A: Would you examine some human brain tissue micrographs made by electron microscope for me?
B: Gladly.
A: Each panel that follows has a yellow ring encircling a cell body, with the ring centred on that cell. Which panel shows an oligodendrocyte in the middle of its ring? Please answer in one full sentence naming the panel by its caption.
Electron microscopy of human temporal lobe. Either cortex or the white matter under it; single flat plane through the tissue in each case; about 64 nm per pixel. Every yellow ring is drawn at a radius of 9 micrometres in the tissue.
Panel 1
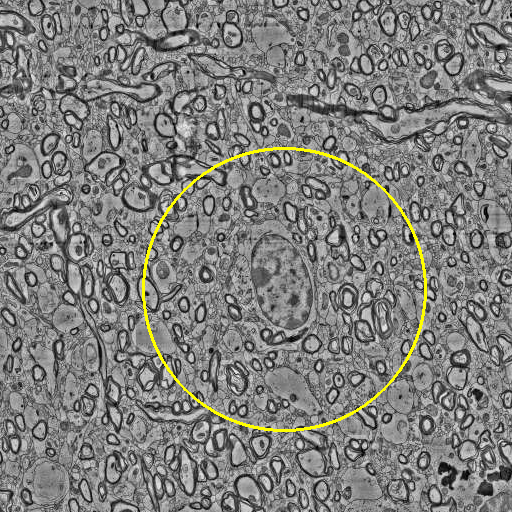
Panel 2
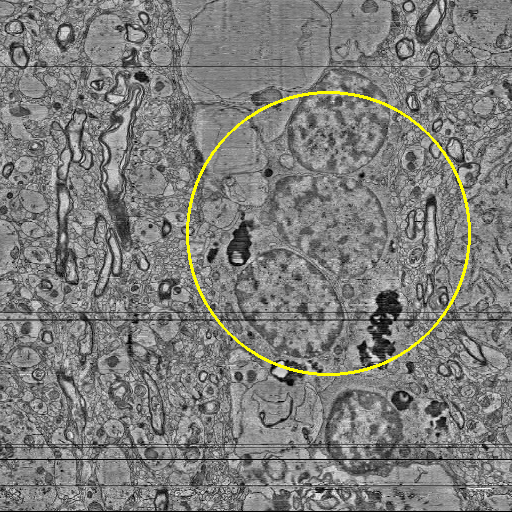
Panel 2 is where the ring sits centred on the requested cell.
